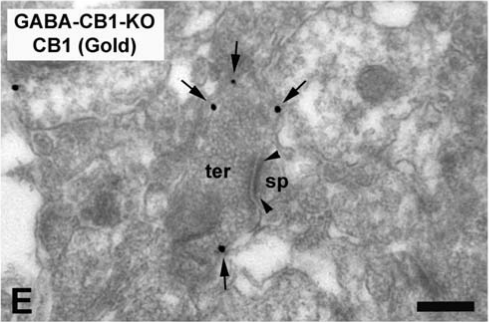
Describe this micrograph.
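Electron micrograph of neuropil centred on a presynaptic bouton packed with small round synaptic vesicles and containing a mitochondrion. The bouton contacts a small dendritic spine through an asymmetrical synapse with a thick dark postsynaptic density. Several black gold particles lie on the plasma membrane of the bouton, away from the synaptic contact. Surrounding neuropil holds other axonal and dendritic profiles and mitochondria.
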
